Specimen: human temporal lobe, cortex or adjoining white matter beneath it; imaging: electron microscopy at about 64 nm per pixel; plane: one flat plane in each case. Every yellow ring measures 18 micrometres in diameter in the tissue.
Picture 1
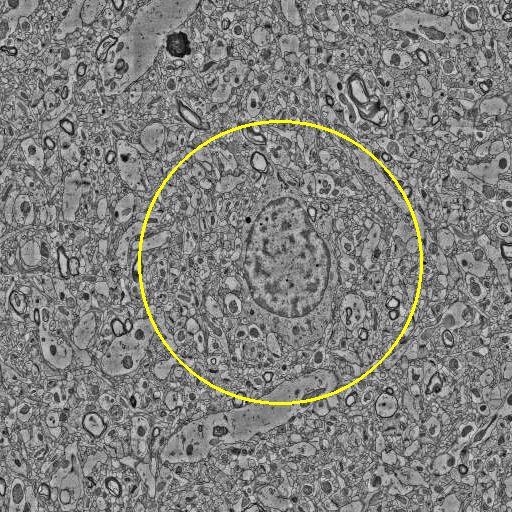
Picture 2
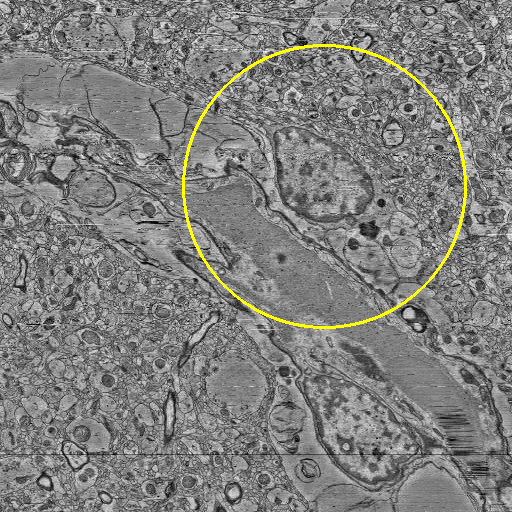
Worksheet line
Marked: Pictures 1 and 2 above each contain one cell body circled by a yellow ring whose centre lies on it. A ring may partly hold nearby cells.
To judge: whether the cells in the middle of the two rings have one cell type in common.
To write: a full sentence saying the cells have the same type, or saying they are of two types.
The cells in the middle of the rings in Picture 1 and Picture 2 have the same type.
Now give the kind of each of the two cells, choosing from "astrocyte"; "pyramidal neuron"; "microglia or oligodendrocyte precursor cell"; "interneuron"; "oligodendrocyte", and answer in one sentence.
In both pictures the ring is centred on an oligodendrocyte.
